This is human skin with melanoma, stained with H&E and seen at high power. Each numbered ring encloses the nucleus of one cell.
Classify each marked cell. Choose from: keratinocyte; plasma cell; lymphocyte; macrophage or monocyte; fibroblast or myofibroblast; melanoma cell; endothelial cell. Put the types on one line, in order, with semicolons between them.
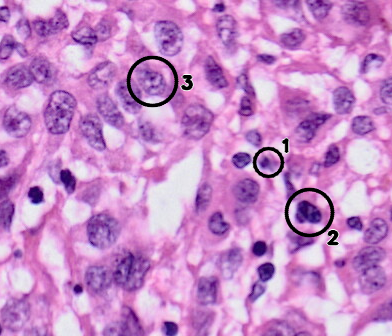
lymphocyte; plasma cell; melanoma cell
